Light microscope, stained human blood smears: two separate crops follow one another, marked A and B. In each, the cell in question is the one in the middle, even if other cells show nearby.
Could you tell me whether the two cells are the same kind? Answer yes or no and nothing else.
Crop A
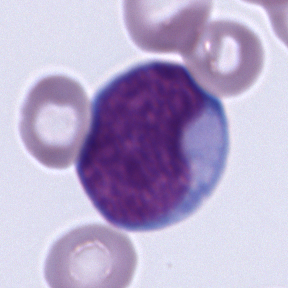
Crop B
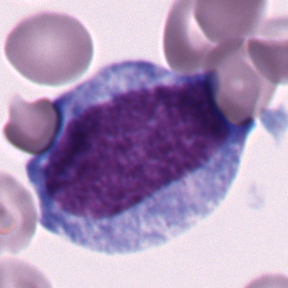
no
